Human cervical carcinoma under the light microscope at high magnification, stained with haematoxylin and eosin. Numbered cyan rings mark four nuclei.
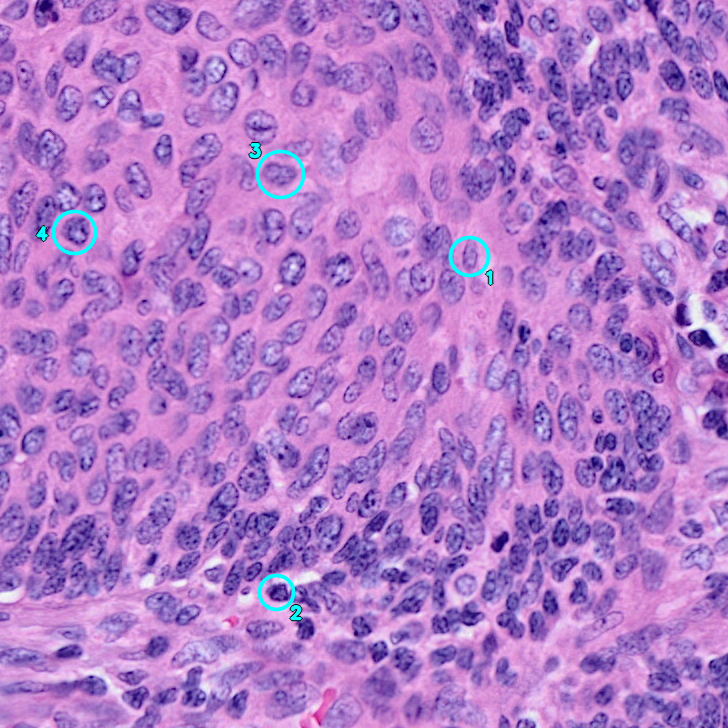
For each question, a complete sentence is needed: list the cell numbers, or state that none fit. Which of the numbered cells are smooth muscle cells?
Numbered cell by numbered cell, the tally of smooth muscle cells stays at zero.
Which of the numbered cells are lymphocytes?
Of those with numbers, only cell 2 is a lymphocyte.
